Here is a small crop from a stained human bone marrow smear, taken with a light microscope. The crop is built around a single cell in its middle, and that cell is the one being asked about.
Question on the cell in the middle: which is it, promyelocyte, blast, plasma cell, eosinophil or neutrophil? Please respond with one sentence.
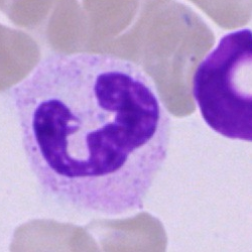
The crop shows a neutrophil in its centre.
